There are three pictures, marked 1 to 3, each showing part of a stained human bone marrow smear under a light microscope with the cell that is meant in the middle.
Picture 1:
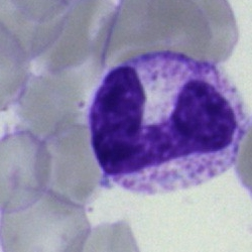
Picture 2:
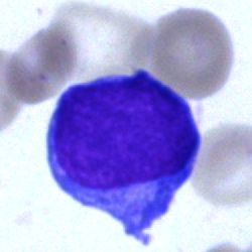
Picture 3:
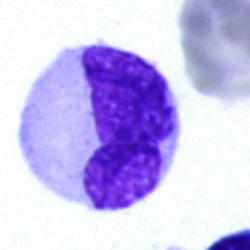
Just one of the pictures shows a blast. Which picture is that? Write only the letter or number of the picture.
2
